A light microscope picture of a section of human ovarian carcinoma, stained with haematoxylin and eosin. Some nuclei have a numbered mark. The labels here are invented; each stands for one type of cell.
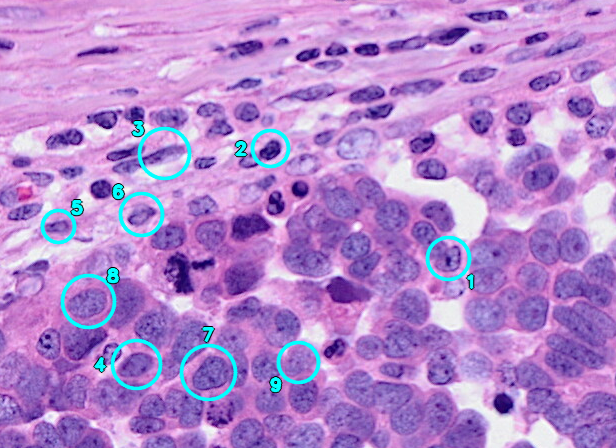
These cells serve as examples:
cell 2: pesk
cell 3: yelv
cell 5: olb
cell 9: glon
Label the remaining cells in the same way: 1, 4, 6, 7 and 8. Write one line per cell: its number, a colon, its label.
1: olb
4: glon
6: olb
7: glon
8: glon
